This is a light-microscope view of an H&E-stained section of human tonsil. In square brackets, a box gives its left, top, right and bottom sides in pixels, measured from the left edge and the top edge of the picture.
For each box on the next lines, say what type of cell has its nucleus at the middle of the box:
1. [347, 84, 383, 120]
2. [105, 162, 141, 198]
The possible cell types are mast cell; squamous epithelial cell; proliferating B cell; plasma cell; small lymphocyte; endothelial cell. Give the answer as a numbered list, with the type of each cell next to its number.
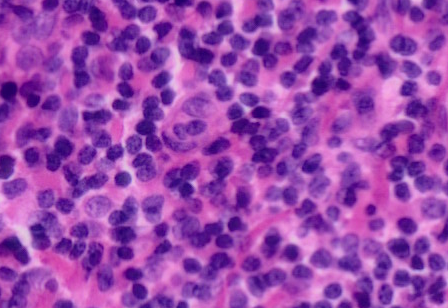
1. endothelial cell
2. small lymphocyte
